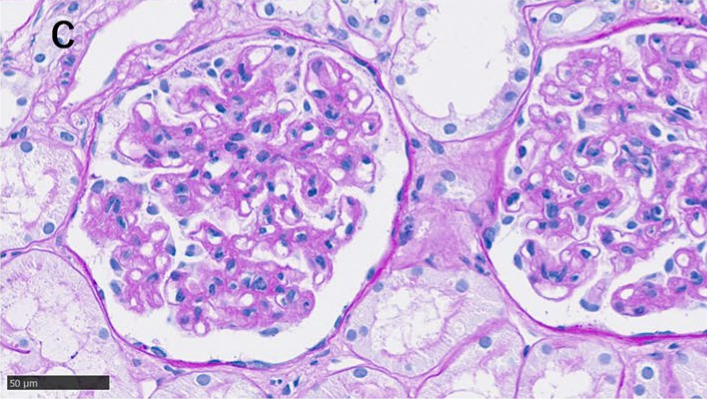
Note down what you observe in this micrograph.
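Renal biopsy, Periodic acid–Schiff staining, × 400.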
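Kidney cortex with two glomeruli, their tufts stained magenta, surrounded by tubules whose cells have pale, vacuolated cytoplasm. Bowman's capsule is a thin magenta line around a clear urinary space, with no crescent.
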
